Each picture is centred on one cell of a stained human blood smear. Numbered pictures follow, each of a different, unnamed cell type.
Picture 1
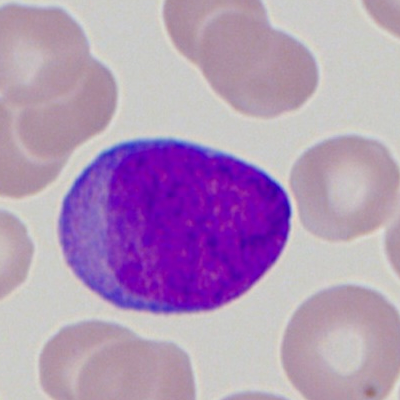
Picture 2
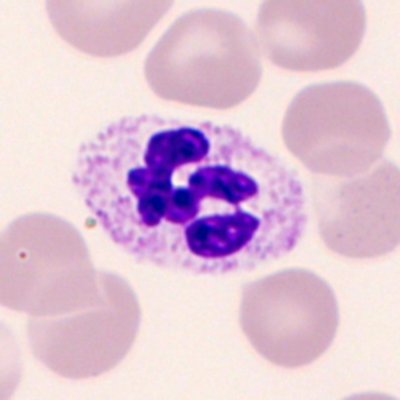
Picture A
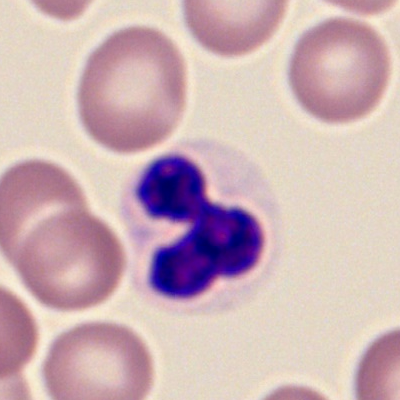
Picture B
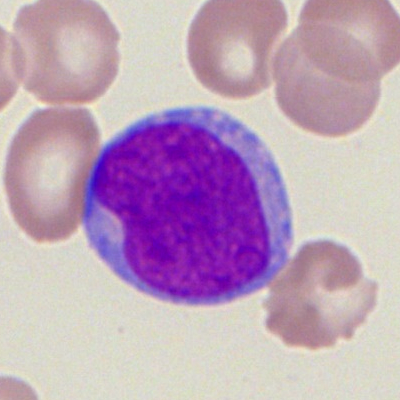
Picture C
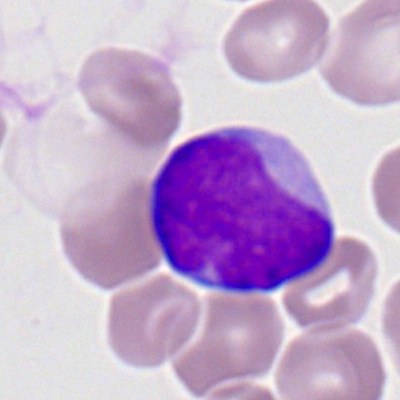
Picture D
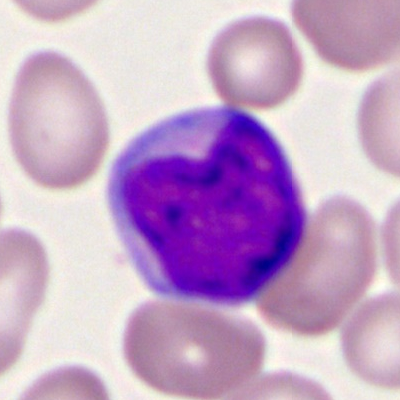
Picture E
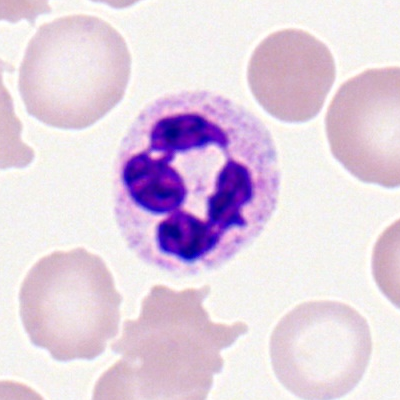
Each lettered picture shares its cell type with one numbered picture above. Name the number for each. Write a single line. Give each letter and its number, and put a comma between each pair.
A 2, B 1, C 1, D 1, E 2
